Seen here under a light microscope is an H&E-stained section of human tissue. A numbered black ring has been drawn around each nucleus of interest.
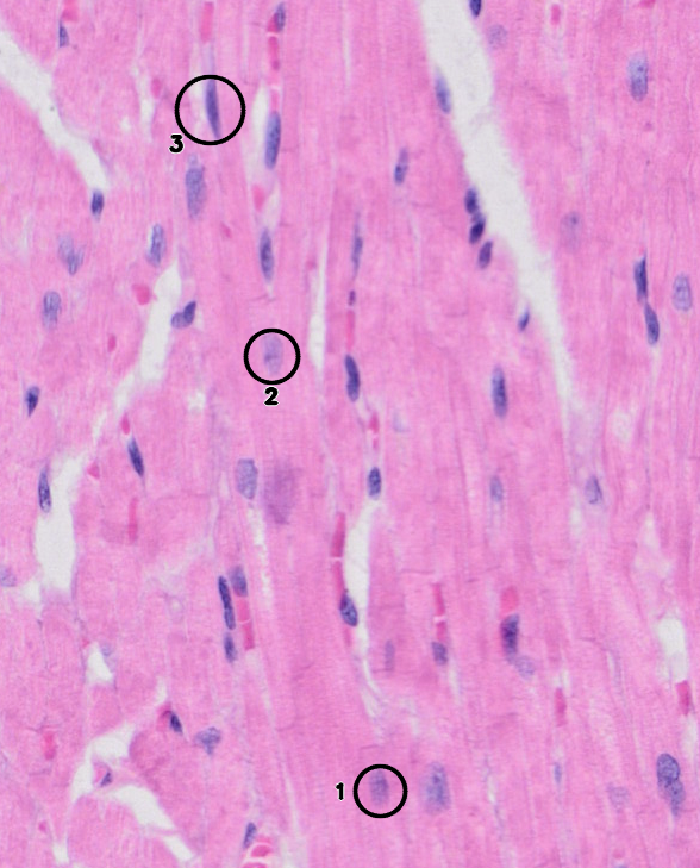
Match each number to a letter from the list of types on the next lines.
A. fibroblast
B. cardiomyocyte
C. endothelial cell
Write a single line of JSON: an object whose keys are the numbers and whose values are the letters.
{"1": "B", "2": "B", "3": "C"}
